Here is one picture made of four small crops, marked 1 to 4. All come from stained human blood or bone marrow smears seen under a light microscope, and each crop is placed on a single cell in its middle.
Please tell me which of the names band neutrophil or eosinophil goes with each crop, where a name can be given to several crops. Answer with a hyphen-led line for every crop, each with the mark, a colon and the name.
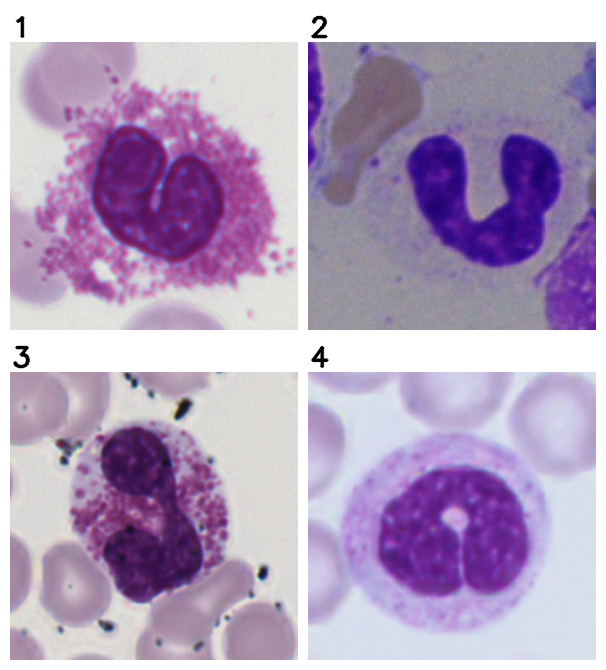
- 1: eosinophil
- 2: band neutrophil
- 3: eosinophil
- 4: band neutrophil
